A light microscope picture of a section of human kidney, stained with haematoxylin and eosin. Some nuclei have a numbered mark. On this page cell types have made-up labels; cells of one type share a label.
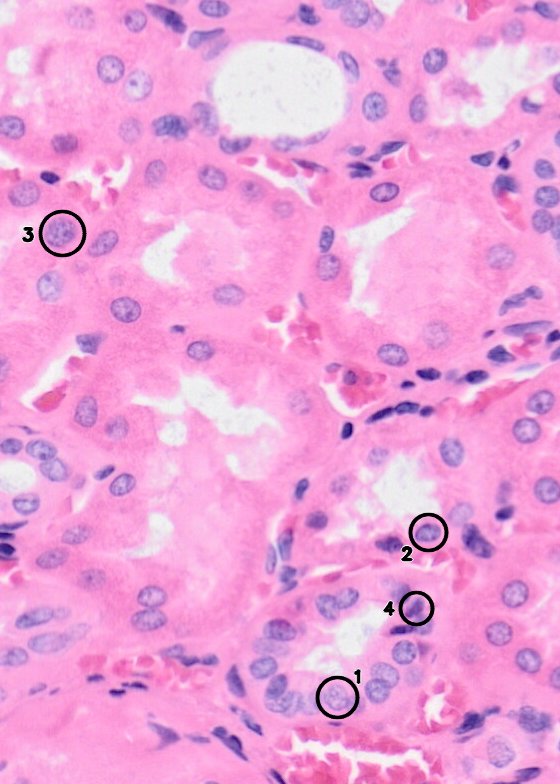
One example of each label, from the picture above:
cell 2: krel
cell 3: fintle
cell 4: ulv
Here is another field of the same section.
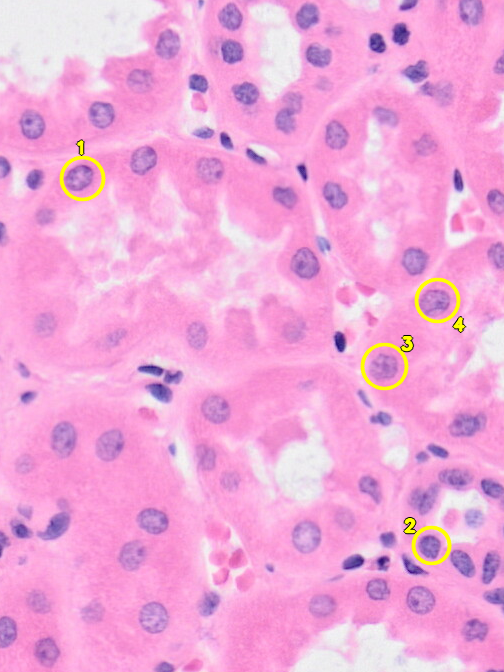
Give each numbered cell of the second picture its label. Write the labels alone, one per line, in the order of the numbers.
fintle
ulv
fintle
fintle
